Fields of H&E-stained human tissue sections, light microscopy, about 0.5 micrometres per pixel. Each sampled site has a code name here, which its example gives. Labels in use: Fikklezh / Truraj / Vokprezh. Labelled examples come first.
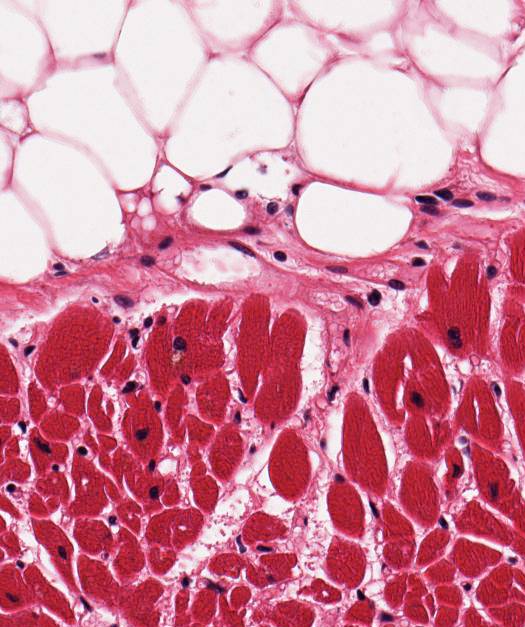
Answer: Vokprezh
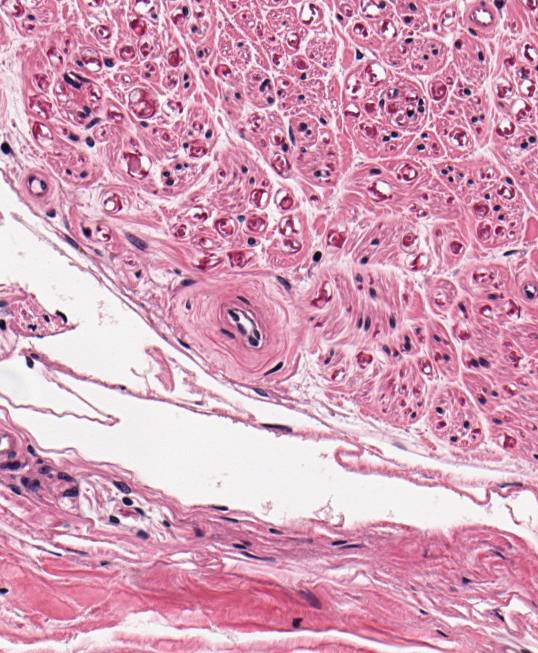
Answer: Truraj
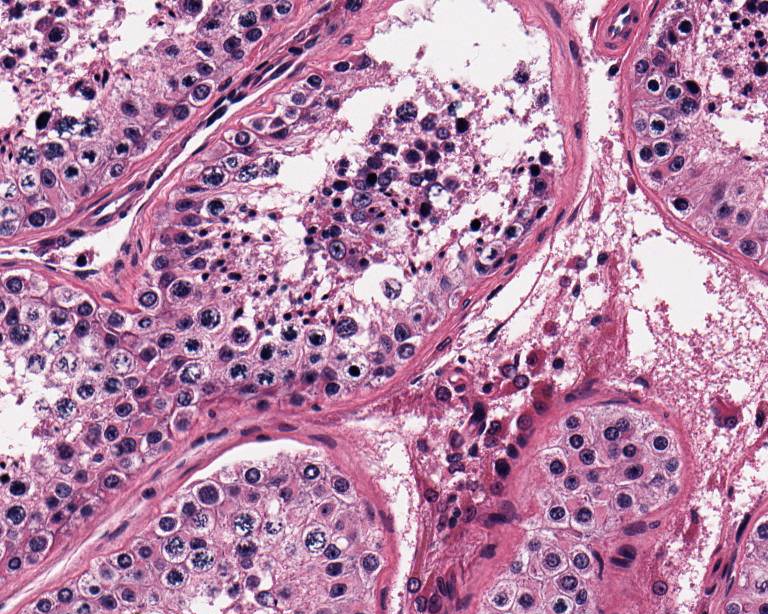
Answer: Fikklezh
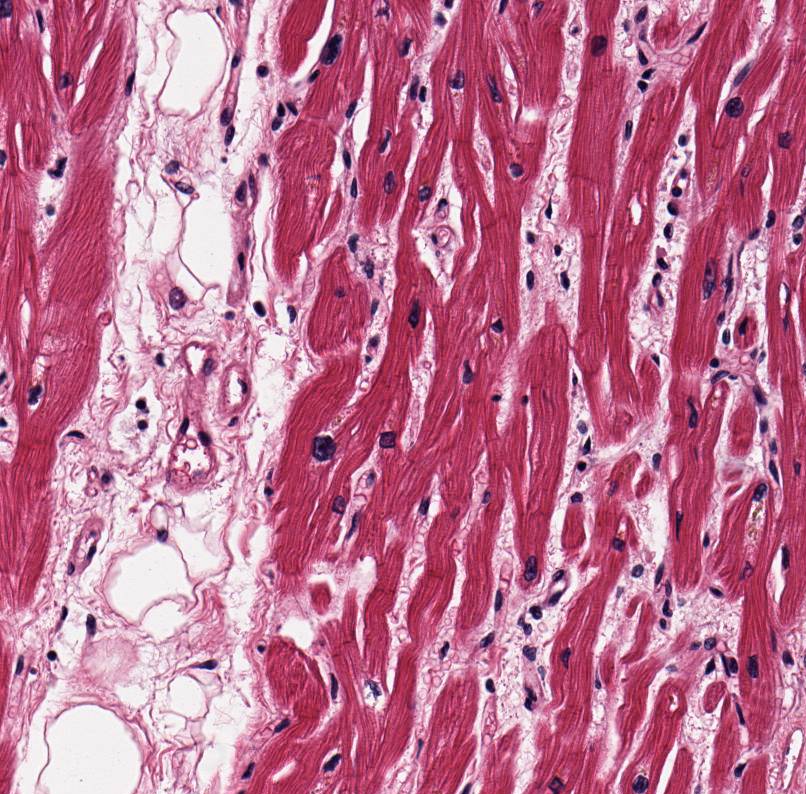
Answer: Vokprezh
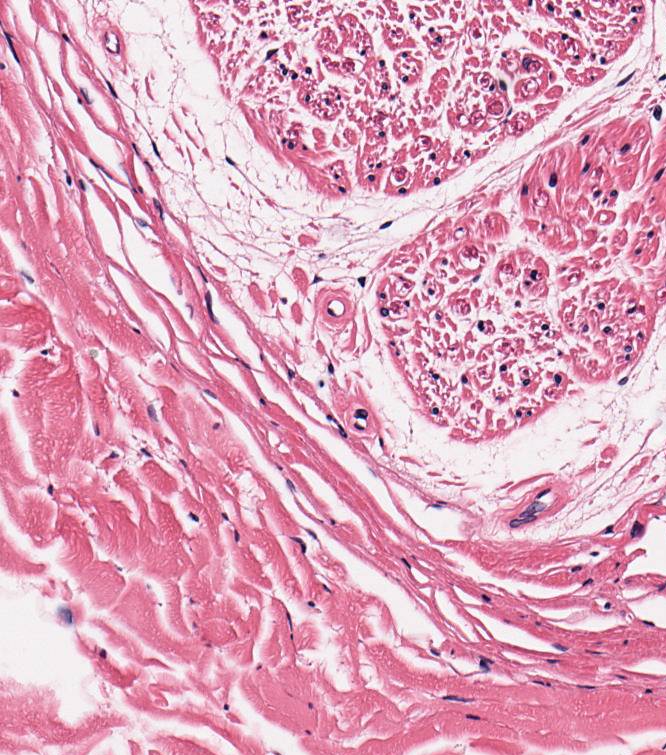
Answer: Truraj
